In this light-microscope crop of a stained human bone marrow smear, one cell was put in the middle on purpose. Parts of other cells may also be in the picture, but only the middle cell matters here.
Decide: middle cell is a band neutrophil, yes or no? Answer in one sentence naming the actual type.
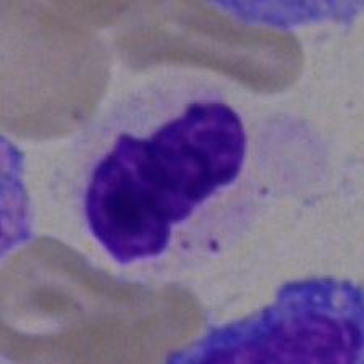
Yes, the centre of the crop holds a band neutrophil.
